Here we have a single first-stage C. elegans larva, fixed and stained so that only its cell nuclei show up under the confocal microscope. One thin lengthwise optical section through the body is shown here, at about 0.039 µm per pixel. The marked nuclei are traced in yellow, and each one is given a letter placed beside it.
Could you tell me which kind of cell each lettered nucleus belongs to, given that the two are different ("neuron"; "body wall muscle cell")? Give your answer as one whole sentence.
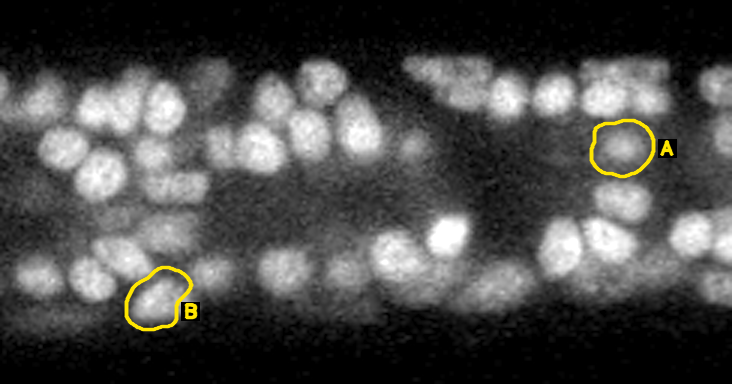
A belongs to a neuron and B to a body wall muscle cell.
